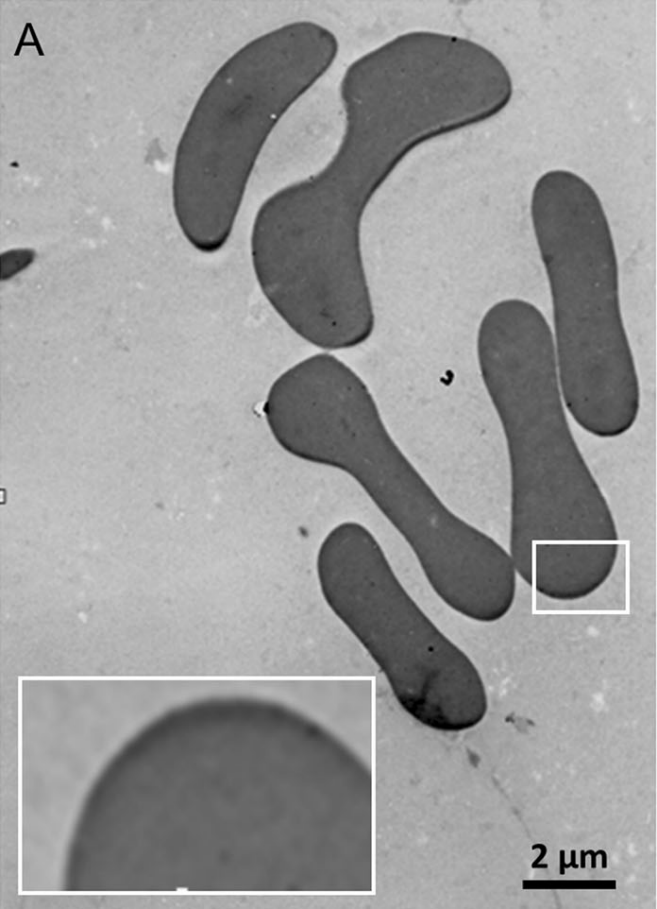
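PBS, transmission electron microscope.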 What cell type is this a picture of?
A: Erythrocytes.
